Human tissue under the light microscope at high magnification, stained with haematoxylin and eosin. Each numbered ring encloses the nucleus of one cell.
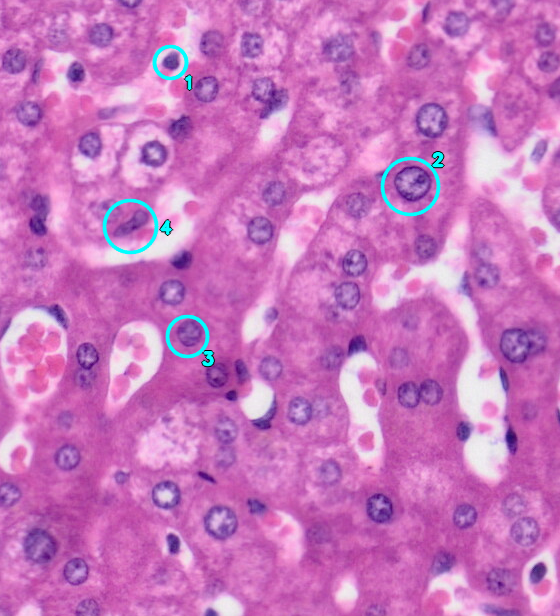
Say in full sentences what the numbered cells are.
Cell 1 is a lymphocyte. Cells 2 and 3 are hepatocytes. Cell 4 is a Kupffer cell.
